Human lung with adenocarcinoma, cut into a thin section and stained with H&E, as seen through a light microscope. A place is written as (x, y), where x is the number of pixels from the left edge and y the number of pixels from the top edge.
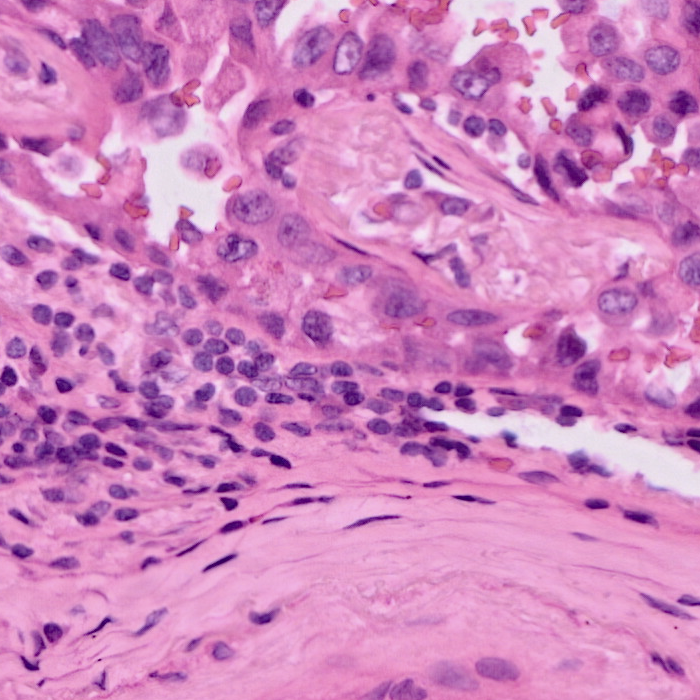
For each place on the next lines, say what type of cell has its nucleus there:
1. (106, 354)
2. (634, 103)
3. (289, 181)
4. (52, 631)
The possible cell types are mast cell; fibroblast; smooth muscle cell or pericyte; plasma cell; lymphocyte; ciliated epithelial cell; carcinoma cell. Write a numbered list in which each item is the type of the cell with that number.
1. lymphocyte
2. carcinoma cell
3. lymphocyte
4. plasma cell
